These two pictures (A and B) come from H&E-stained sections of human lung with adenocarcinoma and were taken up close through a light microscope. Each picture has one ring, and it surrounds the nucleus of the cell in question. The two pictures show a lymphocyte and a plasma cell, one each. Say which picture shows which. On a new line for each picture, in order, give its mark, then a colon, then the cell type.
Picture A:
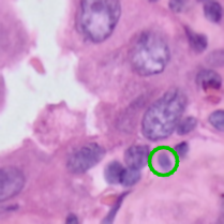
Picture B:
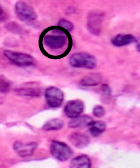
A: lymphocyte
B: plasma cell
